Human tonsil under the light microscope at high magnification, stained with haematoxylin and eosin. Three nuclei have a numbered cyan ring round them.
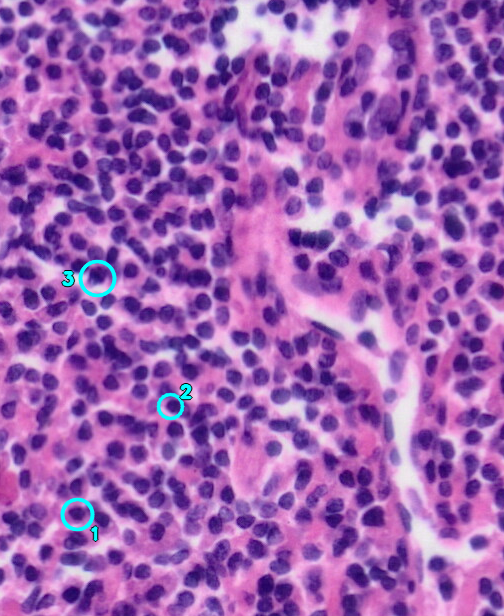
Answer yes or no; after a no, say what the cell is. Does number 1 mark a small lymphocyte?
No, it is a plasma cell.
